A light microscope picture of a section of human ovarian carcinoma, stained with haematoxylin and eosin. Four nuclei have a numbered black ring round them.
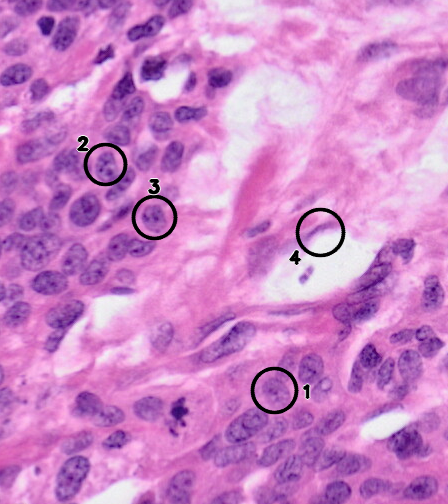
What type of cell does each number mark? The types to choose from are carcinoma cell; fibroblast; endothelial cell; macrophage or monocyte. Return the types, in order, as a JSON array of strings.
["carcinoma cell", "macrophage or monocyte", "macrophage or monocyte", "fibroblast"]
